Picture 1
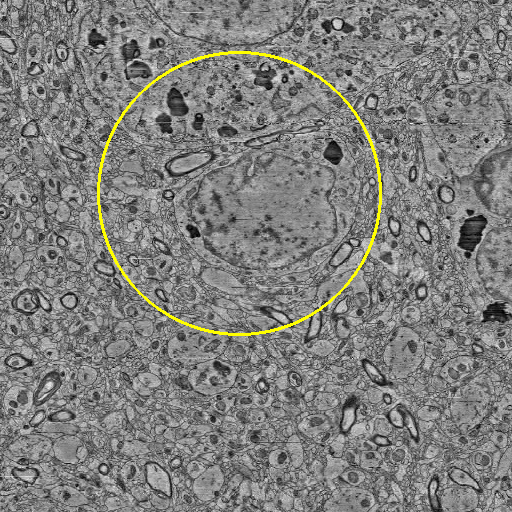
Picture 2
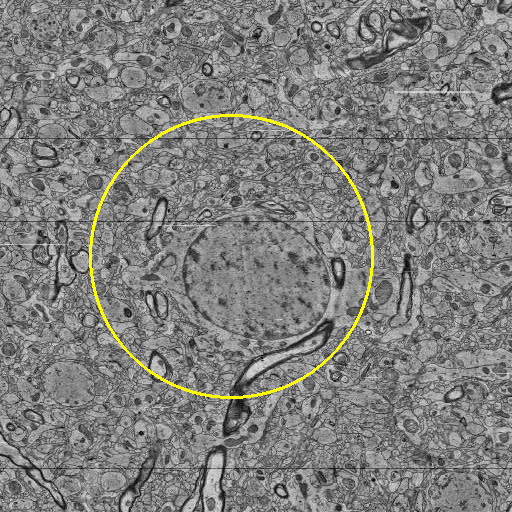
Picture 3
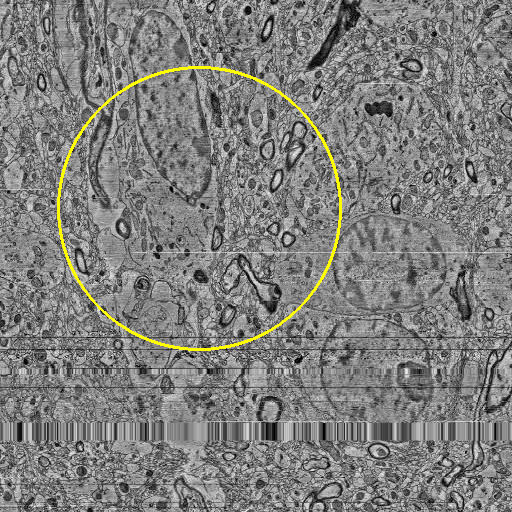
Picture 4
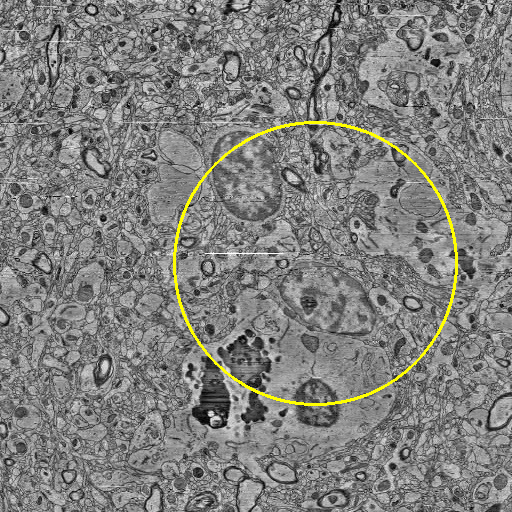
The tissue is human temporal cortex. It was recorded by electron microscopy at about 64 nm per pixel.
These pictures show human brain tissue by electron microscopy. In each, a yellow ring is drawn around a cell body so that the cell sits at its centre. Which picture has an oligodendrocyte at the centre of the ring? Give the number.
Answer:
4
